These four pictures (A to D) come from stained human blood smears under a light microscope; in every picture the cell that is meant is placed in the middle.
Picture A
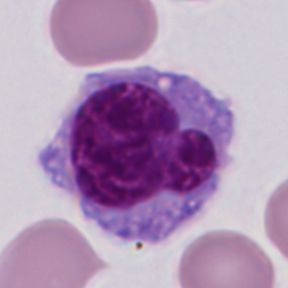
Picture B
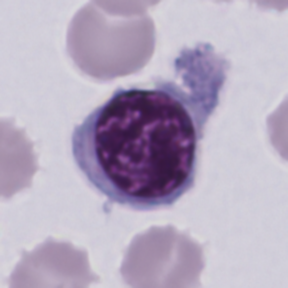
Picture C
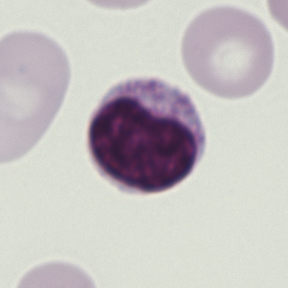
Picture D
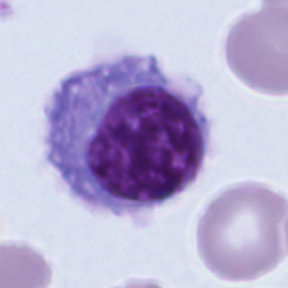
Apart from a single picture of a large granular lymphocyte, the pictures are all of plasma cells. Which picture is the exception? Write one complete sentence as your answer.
It is picture C that shows the large granular lymphocyte.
